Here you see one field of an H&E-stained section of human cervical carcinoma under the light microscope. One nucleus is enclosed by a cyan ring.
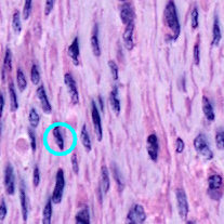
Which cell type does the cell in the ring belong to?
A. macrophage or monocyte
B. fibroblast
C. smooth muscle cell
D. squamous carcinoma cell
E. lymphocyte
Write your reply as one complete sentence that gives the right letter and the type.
Since the cell in the ring is a fibroblast, the right option is B.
